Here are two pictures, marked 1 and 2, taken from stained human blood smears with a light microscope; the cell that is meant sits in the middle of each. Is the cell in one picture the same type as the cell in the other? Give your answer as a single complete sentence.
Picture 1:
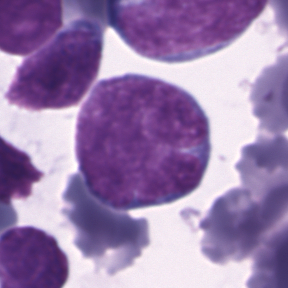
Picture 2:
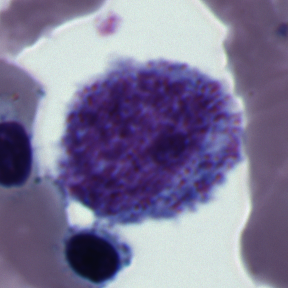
No, the types are not the same, since picture 1 shows a myeloblast and picture 2 a promyelocyte.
